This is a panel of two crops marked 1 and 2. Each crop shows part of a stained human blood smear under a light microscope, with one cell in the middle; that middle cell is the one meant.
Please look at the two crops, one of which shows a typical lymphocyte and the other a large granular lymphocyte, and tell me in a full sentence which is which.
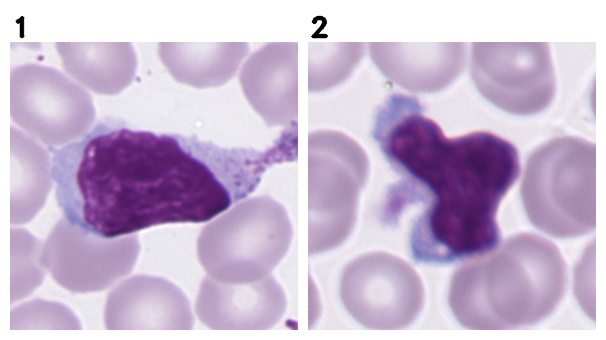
In this set, crop 1 shows a large granular lymphocyte and crop 2 shows a typical lymphocyte.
